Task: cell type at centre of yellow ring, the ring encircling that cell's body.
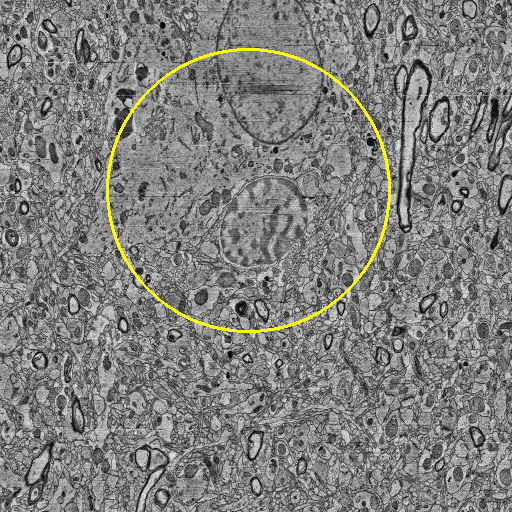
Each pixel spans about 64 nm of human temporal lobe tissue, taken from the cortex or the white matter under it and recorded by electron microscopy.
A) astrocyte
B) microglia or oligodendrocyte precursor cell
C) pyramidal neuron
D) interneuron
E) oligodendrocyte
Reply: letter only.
B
